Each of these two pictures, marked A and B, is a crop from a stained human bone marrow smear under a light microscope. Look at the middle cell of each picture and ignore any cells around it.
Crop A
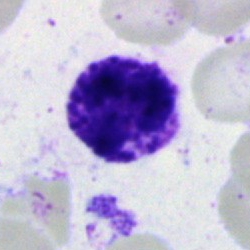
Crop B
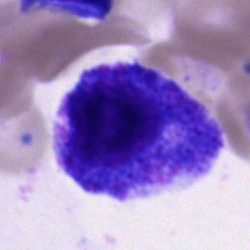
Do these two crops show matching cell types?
no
